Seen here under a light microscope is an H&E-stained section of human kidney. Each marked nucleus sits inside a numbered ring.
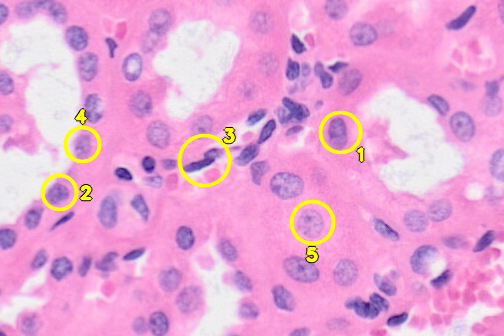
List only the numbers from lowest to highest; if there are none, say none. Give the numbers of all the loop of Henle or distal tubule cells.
2, 4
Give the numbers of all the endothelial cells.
3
